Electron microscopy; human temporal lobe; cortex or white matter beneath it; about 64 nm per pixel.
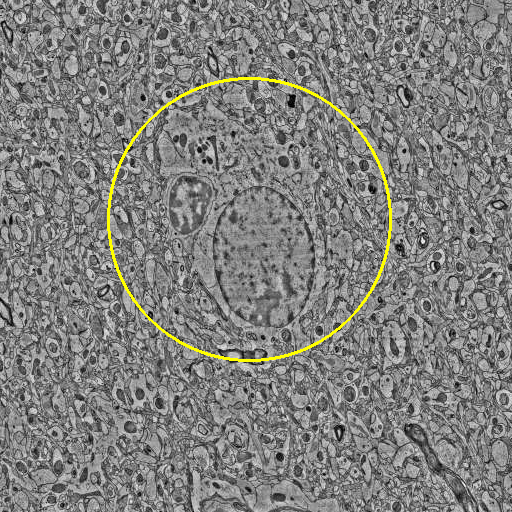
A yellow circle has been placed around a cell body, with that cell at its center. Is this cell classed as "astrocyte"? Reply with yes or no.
Yes, it belongs to that class.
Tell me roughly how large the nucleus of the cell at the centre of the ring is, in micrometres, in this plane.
The nucleus is approximately 9 micrometers long by 6 micrometers wide in this plane.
